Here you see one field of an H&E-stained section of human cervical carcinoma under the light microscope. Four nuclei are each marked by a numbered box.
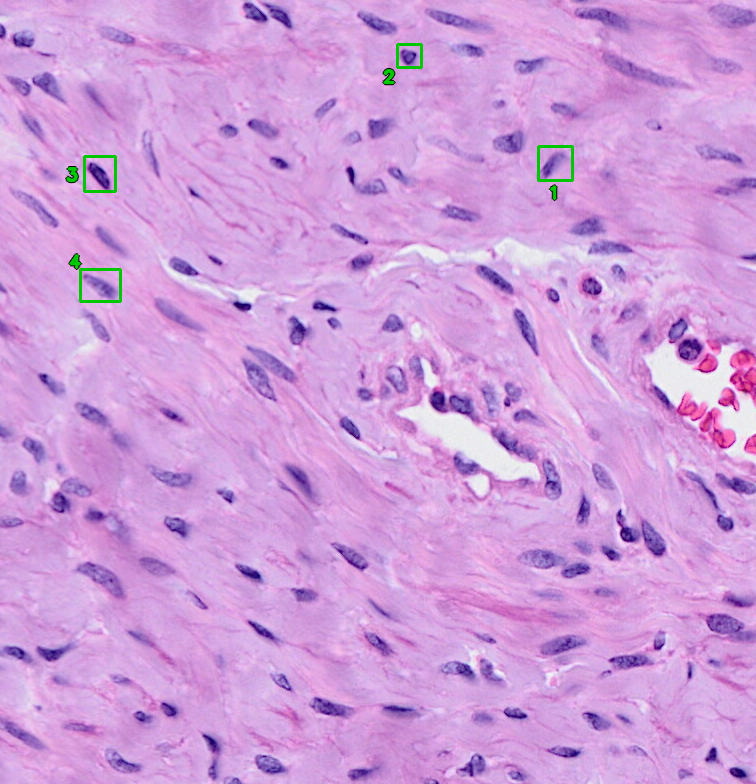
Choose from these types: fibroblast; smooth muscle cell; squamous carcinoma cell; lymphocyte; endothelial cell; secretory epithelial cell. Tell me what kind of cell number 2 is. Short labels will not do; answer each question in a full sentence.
The label 2 in this section denotes a fibroblast.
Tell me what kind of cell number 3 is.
Cell 3, among those numbered, is a lymphocyte.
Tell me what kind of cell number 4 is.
That cell with number 4 is a fibroblast.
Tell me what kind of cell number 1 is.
Nucleus 1 in this section belongs to a fibroblast.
